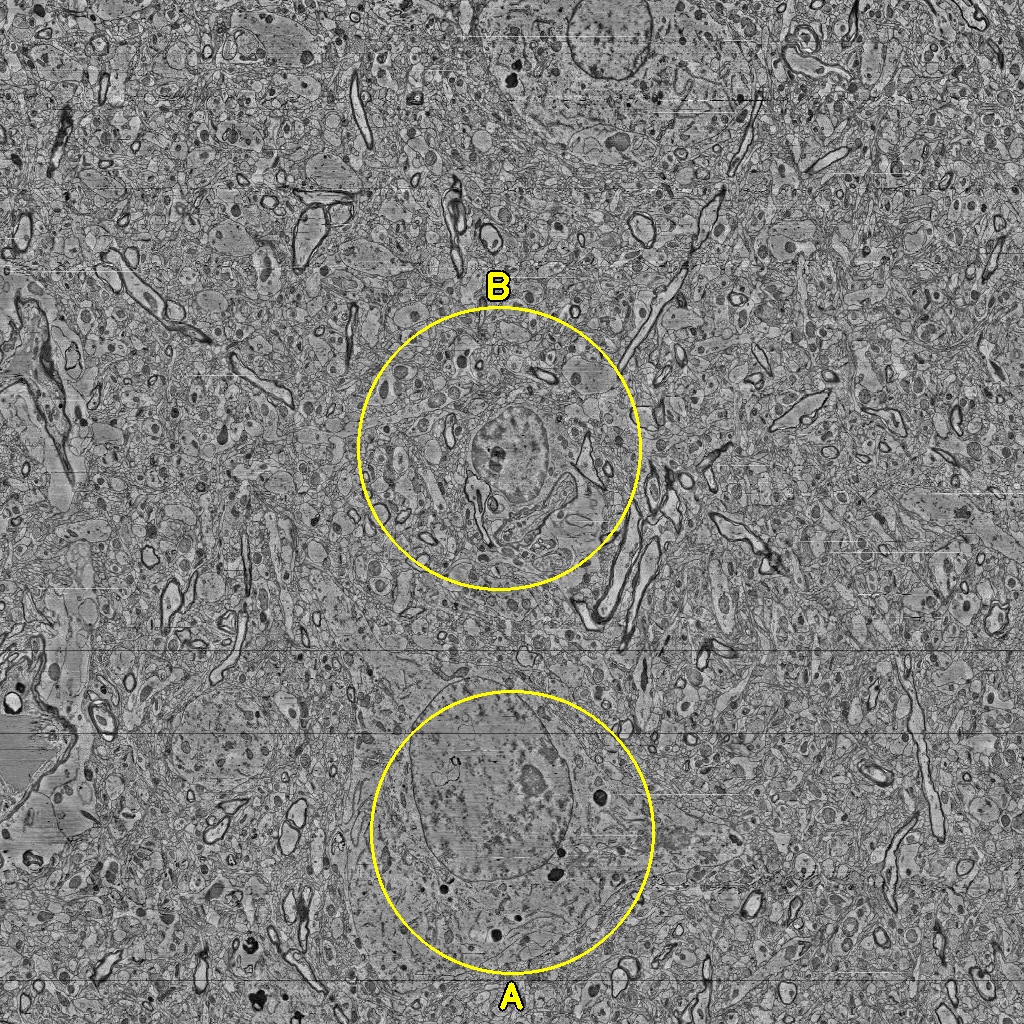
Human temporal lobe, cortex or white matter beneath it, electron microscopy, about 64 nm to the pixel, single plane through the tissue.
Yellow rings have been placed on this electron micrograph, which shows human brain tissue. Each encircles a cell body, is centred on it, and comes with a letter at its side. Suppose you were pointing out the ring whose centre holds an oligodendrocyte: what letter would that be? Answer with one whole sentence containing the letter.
The ring I would point to, centred on the cell in question, is B.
